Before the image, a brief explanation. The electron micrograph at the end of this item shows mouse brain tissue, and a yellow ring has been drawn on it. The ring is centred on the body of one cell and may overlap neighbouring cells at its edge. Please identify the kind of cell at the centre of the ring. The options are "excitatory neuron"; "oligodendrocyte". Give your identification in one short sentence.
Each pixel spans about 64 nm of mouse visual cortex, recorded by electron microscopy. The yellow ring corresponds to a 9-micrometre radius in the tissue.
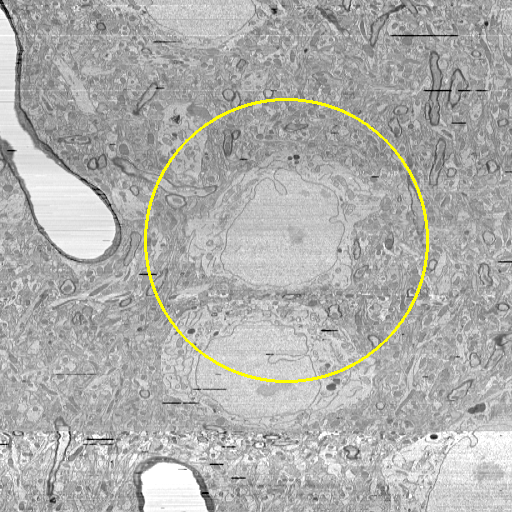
The ring has been placed around an excitatory neuron.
